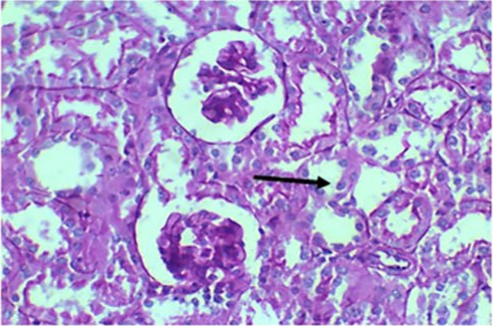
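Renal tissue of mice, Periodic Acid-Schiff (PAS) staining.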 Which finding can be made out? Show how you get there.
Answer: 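Tubular outlines are irregular and crowded compared with neat round profiles.
Answer: tubular epithelial vacuolization and flattening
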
